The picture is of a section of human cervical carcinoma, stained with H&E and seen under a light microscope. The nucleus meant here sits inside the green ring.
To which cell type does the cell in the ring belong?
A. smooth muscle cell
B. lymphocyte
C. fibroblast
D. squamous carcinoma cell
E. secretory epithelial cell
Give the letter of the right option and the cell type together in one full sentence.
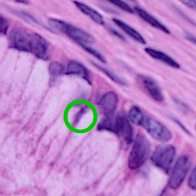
Option E correctly identifies the cell in the ring as a secretory epithelial cell.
